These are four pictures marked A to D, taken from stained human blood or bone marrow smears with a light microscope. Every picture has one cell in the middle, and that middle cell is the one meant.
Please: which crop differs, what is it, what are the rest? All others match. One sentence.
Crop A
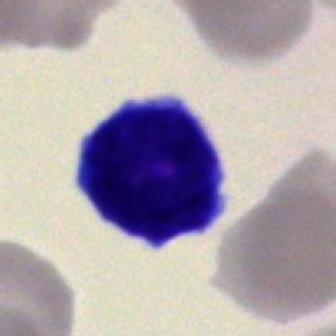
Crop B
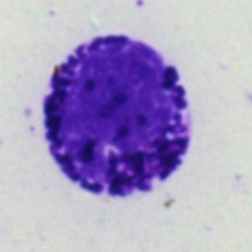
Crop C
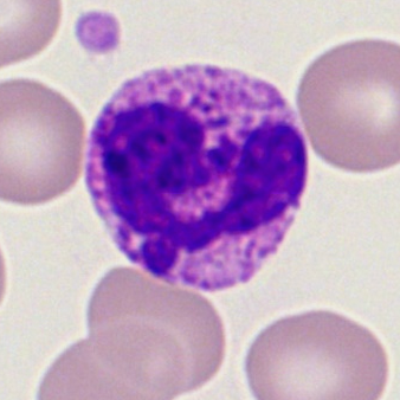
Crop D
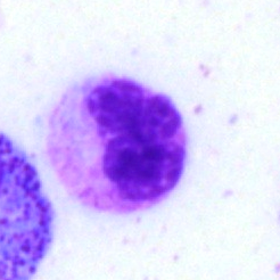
The single exception among the crops is crop A, which is a lymphocyte; the rest show basophils.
